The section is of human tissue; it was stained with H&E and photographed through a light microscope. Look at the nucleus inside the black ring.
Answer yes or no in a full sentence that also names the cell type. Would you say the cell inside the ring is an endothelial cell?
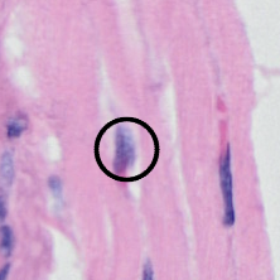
Yes, the cell inside the ring is identified as an endothelial cell in this section.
